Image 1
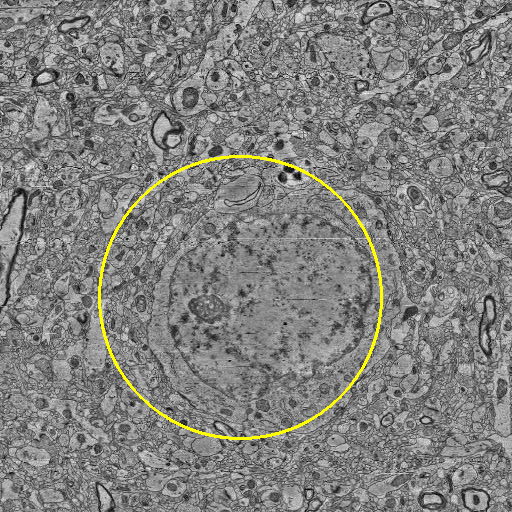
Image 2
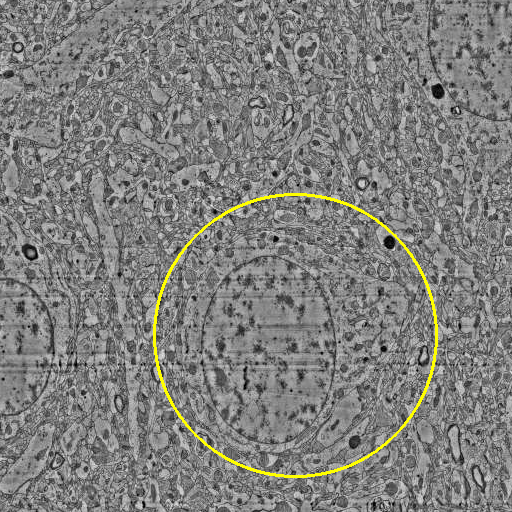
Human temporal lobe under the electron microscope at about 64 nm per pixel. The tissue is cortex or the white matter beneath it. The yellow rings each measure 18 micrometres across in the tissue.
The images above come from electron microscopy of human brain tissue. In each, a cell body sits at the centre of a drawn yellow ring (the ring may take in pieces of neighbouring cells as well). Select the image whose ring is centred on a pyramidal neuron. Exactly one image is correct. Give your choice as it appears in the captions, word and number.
Image 2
